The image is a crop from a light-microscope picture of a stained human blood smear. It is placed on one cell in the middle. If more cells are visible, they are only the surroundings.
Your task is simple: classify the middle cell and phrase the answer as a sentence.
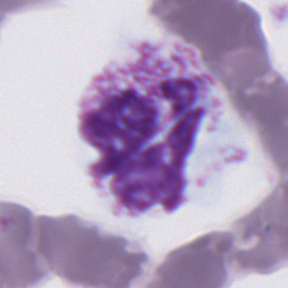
Seen at the centre of the crop is a segmented neutrophil.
